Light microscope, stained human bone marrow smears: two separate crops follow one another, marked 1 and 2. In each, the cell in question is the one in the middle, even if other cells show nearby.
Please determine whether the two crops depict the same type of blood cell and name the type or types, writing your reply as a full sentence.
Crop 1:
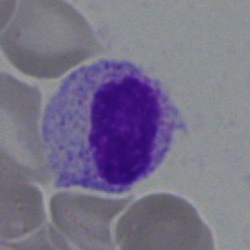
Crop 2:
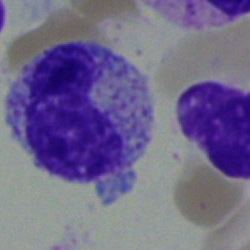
Yes, metamyelocytes are present at the centre of both crops.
